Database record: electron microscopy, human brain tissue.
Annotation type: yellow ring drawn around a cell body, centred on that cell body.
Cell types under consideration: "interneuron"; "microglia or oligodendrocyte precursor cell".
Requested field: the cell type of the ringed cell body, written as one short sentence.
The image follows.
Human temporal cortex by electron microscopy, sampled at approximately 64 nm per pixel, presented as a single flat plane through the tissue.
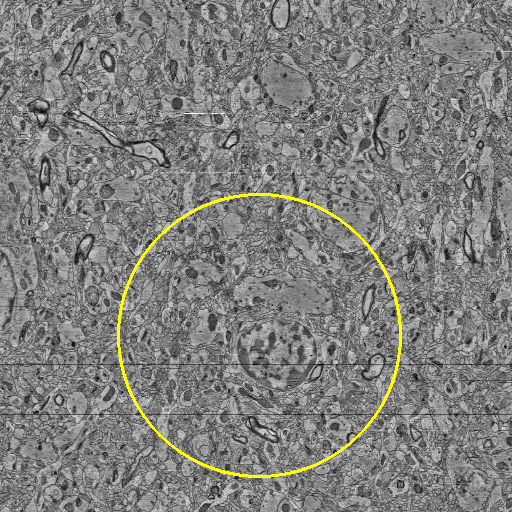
The ringed cell body represents a microglial cell or oligodendrocyte precursor cell.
